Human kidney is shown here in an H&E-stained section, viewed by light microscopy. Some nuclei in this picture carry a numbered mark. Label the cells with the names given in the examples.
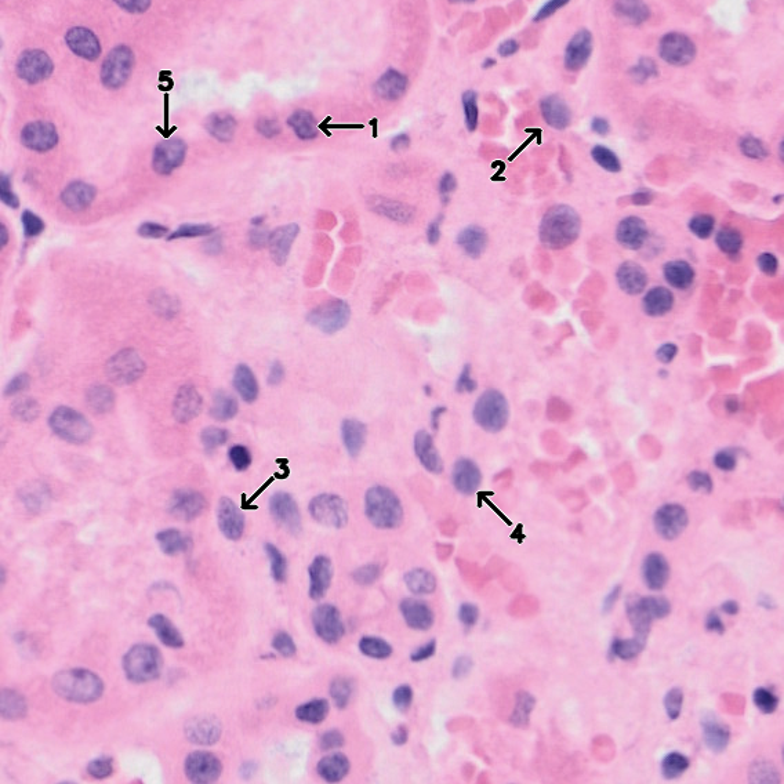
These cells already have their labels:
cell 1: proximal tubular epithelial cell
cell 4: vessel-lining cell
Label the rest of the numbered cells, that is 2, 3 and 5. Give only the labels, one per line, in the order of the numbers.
vessel-lining cell
vessel-lining cell
proximal tubular epithelial cell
